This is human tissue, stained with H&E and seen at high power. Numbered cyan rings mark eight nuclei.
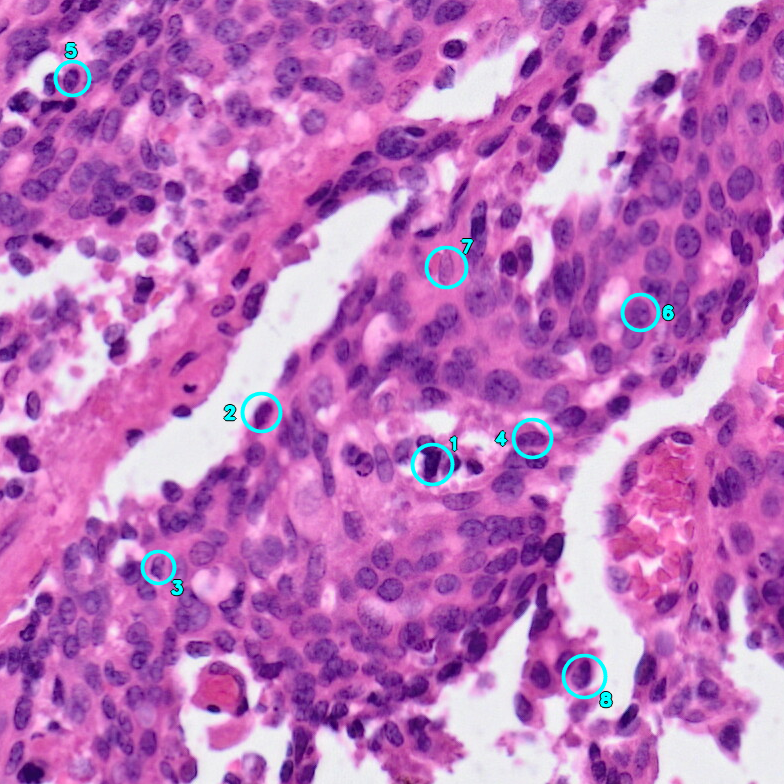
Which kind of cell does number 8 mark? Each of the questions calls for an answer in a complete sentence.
The cell assigned the number 8 is a carcinoma cell.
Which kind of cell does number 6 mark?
The cell marked with number 6 is a carcinoma cell.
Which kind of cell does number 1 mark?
At number 1, the marked cell is a carcinoma cell.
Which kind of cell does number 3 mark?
Heads up, the cell numbered 3 is a macrophage or monocyte.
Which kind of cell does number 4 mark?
The cell numbered 4 represents a carcinoma cell.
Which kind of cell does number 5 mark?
The numbered cell 5 in this field is a macrophage or monocyte.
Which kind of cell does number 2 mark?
The one labeled 2 is a carcinoma cell, to put it simply.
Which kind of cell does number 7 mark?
The cell referred to as 7 is an endothelial cell.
